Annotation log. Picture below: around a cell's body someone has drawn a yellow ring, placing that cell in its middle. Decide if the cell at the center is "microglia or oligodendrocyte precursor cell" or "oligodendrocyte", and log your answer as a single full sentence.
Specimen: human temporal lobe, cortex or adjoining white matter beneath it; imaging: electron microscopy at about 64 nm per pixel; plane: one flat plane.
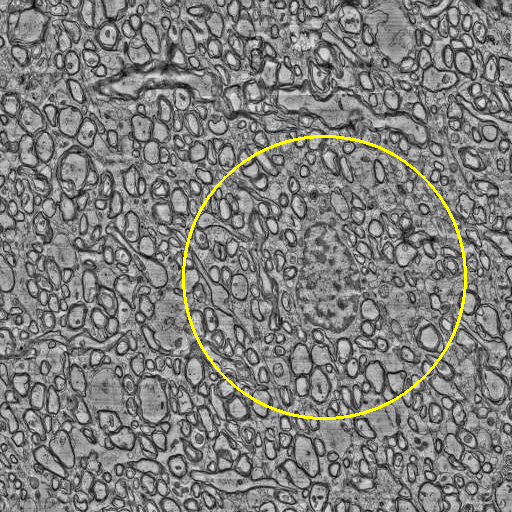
My entry records an oligodendrocyte as the cell sitting at the center of the yellow ring.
